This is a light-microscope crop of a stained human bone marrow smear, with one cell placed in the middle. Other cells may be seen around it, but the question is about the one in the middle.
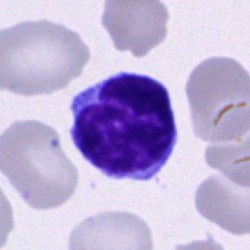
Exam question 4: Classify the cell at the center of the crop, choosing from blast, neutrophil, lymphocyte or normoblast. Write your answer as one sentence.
The central cell, amid any neighbouring cells, is a lymphocyte.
